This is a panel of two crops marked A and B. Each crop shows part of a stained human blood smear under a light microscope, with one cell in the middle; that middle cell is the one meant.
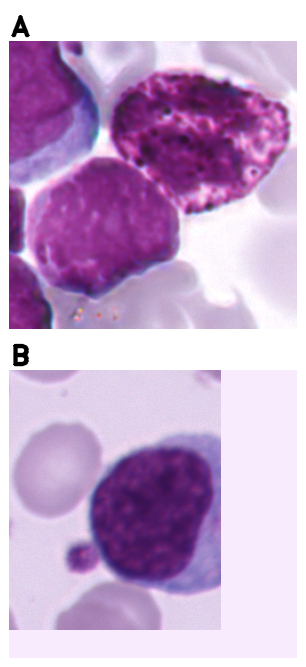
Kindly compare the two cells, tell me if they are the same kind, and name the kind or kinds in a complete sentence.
No, it is a basophil in crop A and a typical lymphocyte in crop B.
